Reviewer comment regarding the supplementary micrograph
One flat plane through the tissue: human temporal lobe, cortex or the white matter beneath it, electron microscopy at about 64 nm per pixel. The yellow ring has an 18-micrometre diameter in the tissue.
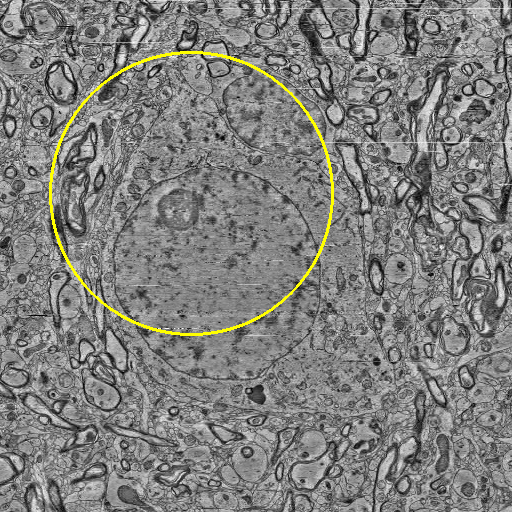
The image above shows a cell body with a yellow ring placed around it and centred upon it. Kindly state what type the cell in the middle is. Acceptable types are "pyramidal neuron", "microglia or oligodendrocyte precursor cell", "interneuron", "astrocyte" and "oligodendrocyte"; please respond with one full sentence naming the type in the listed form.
In the image above, the cell on which the yellow ring is centred is a pyramidal neuron.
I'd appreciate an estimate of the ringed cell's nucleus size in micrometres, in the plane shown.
The nucleus appears about 14 micrometres across in this plane.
